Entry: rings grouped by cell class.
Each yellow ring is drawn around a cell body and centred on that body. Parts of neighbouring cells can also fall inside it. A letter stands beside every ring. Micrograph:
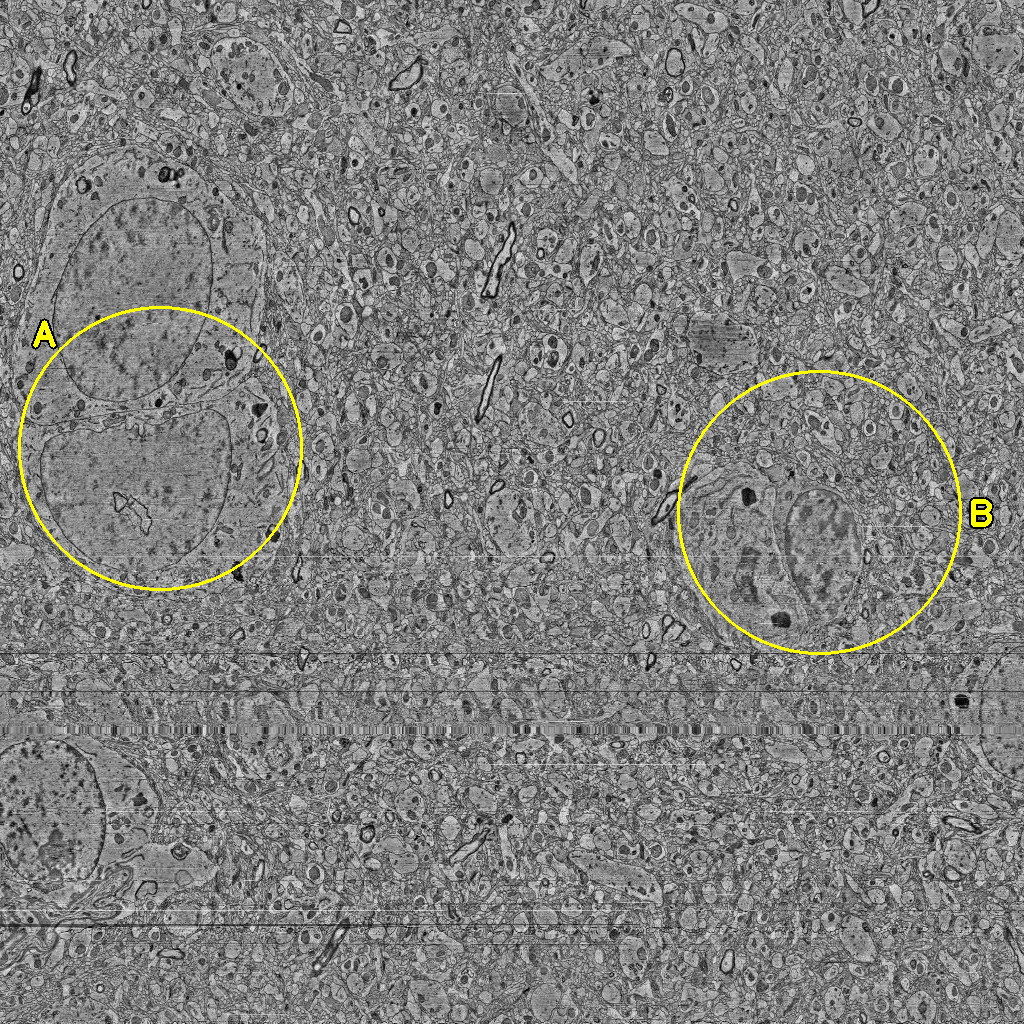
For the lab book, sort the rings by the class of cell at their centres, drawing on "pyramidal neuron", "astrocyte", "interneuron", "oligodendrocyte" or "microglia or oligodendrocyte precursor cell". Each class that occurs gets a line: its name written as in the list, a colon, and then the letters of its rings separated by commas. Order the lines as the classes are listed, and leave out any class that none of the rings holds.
pyramidal neuron: A
oligodendrocyte: B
